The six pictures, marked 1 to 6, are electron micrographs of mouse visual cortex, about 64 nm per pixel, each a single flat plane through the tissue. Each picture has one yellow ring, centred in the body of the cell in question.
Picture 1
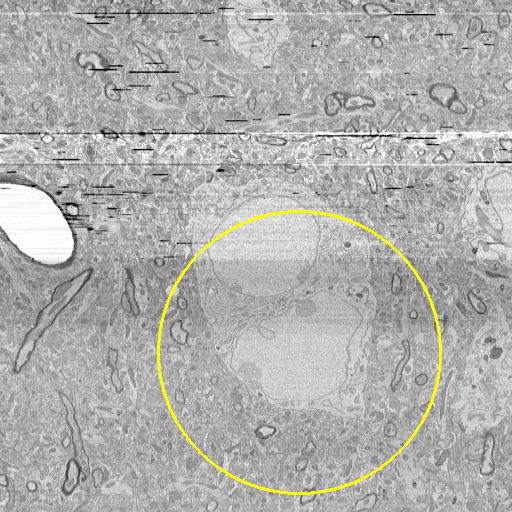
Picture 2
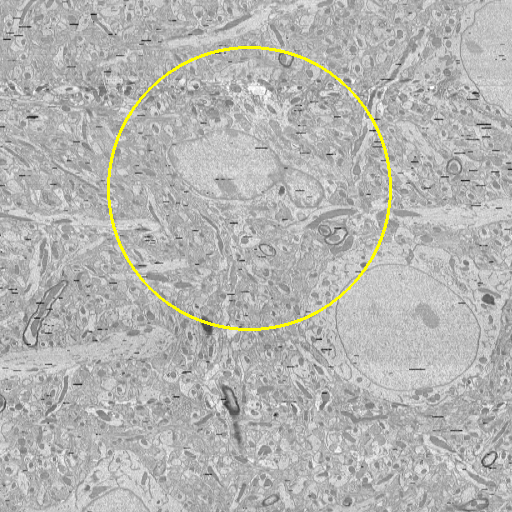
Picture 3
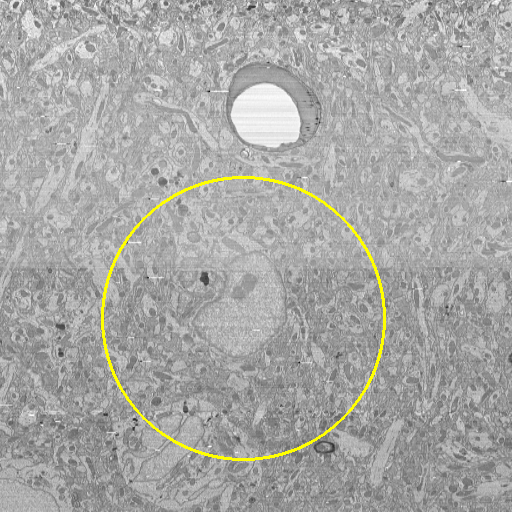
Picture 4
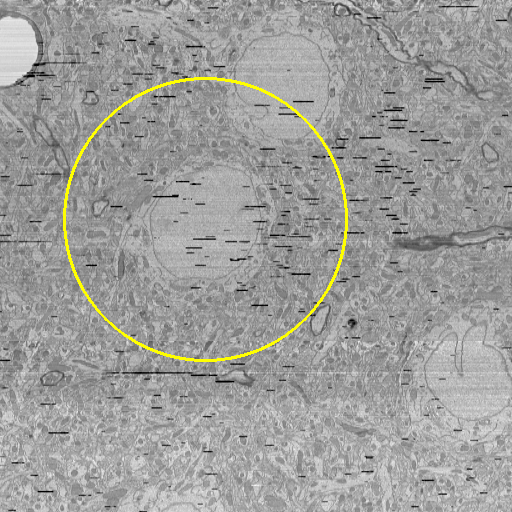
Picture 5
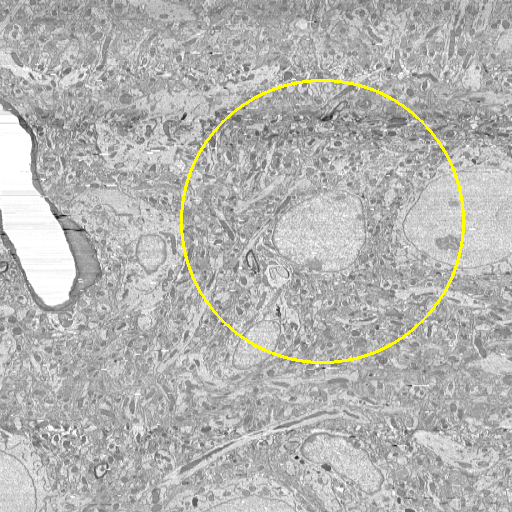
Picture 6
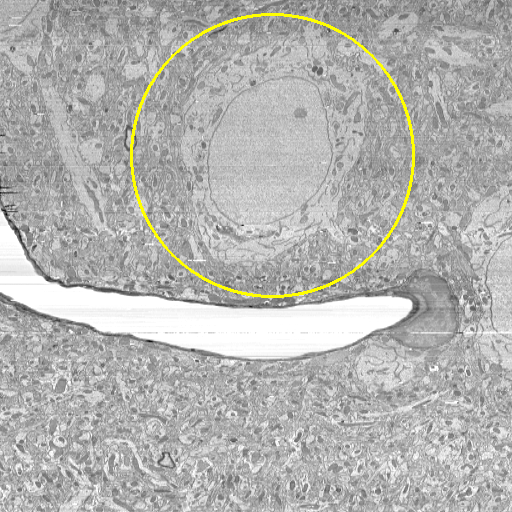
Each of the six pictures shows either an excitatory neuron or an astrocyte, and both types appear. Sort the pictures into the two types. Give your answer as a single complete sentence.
Pictures 1, 4 and 6 show excitatory neurons, while pictures 2, 3 and 5 show astrocytes.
